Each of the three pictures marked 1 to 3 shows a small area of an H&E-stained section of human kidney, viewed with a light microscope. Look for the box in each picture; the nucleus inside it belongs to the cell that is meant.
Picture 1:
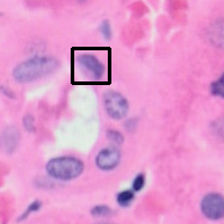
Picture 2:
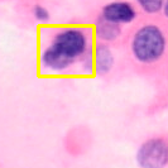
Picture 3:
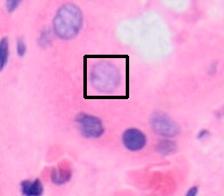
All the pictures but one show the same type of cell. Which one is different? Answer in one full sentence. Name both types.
All pictures except 3 show collecting duct cells; picture 3 shows a proximal tubule cell.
